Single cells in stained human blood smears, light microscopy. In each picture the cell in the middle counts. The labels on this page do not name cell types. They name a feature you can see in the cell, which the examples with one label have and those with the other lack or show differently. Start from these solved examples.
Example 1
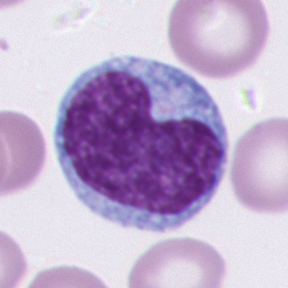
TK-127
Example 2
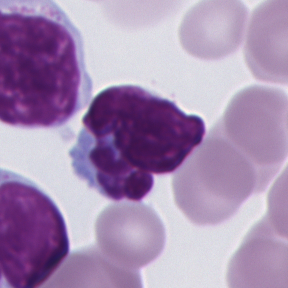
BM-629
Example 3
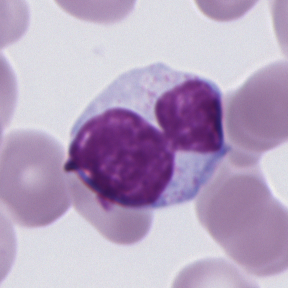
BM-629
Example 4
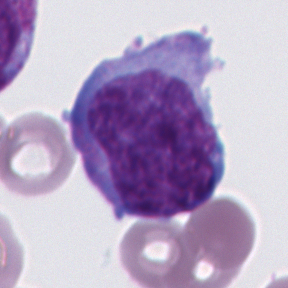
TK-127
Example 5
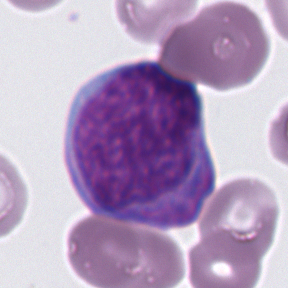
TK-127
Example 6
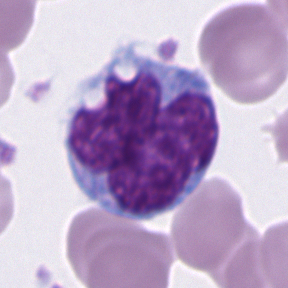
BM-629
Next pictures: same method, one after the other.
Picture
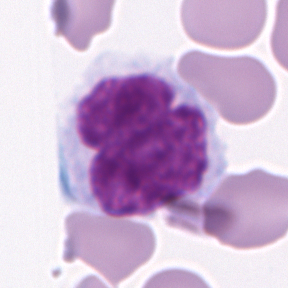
BM-629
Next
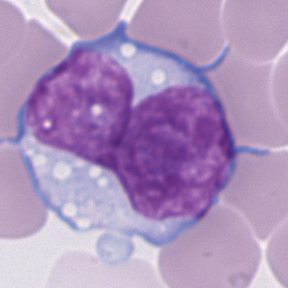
BM-629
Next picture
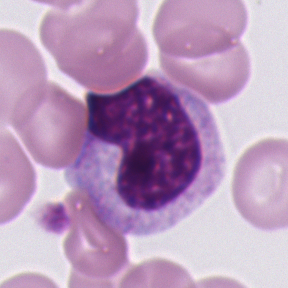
TK-127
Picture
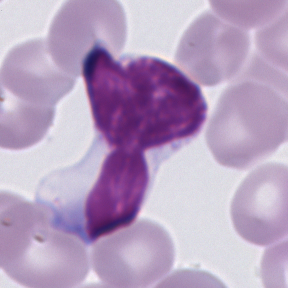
BM-629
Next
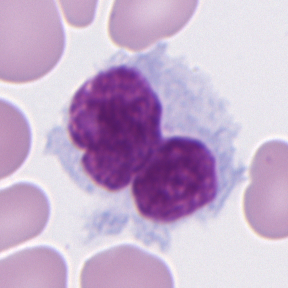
BM-629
